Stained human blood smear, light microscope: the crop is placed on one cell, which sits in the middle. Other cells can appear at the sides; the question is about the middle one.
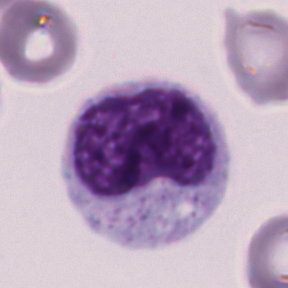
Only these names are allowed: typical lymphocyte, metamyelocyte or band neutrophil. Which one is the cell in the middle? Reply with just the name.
metamyelocyte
